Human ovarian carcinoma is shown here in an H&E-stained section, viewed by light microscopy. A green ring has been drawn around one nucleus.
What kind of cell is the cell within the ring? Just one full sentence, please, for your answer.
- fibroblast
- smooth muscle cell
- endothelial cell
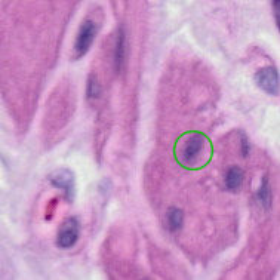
Cell type answer for this item: the cell within the ring is a smooth muscle cell.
